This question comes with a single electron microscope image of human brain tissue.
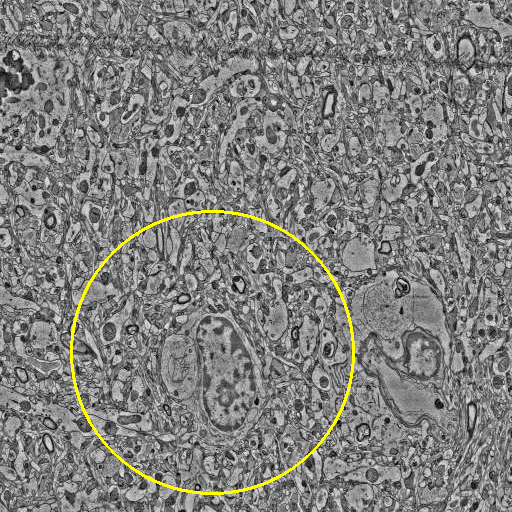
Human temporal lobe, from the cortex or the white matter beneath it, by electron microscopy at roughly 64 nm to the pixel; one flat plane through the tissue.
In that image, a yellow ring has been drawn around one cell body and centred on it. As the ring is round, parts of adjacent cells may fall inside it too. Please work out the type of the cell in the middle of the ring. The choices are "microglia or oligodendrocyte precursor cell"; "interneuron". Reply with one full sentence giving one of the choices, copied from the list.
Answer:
Of the choices, a microglial cell or oligodendrocyte precursor cell is the cell sitting in the middle of the ring.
